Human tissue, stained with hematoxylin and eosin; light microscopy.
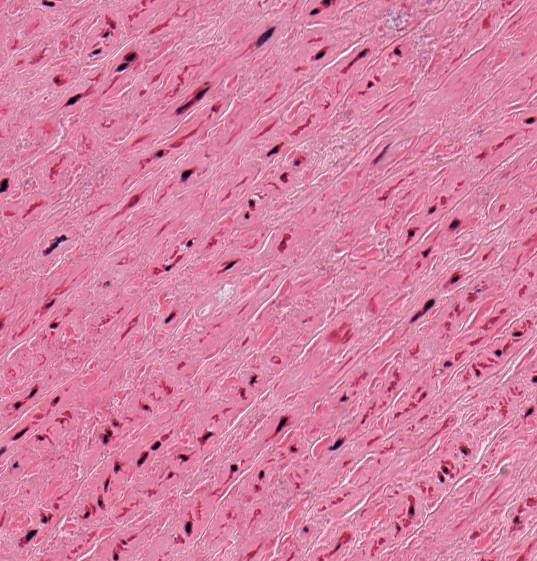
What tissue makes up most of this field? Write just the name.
tunica media of an artery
